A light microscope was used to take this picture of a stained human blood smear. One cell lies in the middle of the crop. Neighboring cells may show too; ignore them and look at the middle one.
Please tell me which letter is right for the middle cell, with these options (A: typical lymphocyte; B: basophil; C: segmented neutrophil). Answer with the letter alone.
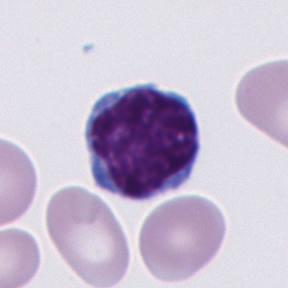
A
